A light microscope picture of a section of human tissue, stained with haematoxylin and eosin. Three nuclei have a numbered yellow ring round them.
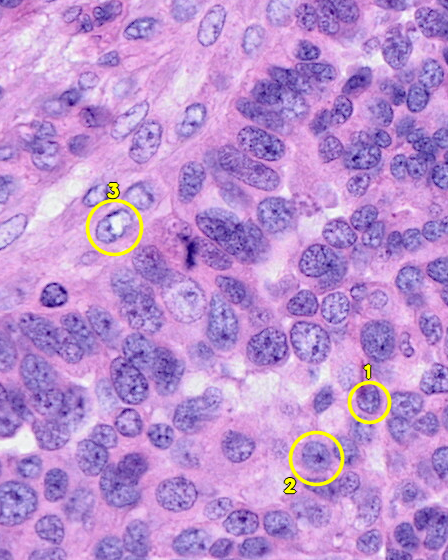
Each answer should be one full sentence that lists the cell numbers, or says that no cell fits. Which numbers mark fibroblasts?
Cell 3 alone, of all the numbered cells, is a fibroblast.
